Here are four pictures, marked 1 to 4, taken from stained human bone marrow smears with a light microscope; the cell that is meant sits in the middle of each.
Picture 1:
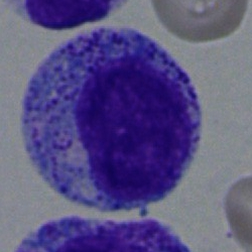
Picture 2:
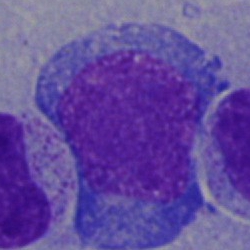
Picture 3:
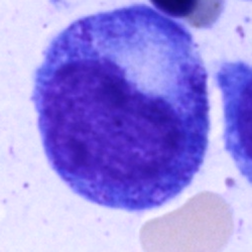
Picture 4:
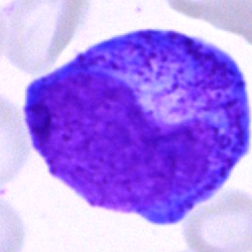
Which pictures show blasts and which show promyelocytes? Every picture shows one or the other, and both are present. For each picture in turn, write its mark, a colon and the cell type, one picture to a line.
1: promyelocyte
2: blast
3: promyelocyte
4: promyelocyte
